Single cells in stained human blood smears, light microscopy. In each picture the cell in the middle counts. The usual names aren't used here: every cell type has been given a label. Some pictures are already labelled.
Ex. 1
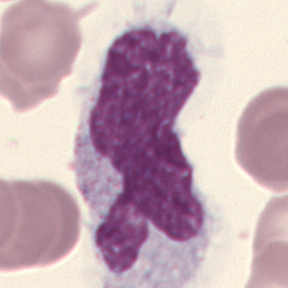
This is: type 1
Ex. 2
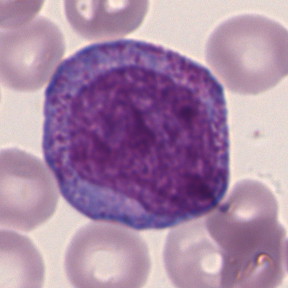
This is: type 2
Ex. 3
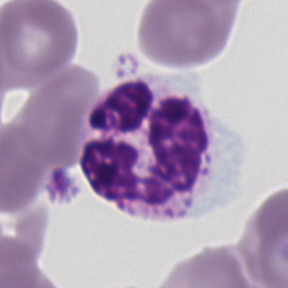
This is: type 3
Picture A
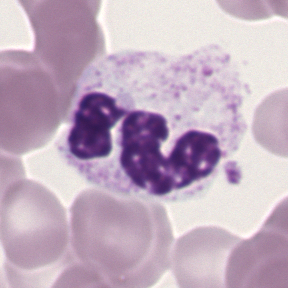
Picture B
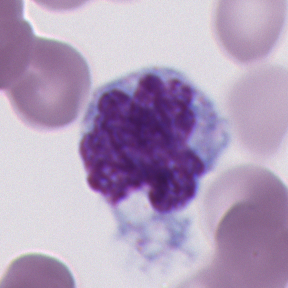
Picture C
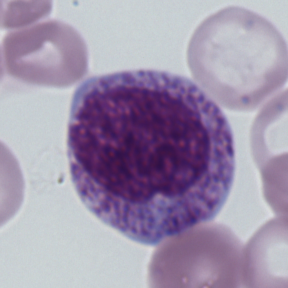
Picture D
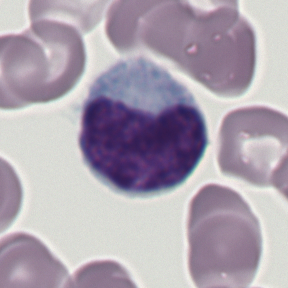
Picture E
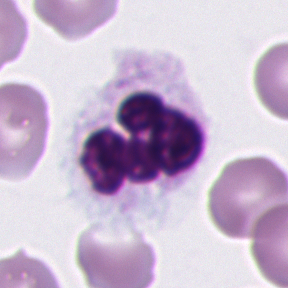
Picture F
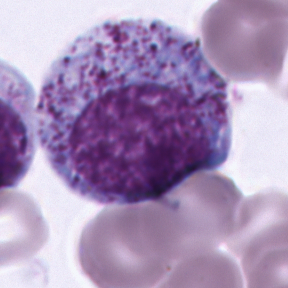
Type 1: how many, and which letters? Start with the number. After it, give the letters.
Count: 2 (B, D)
